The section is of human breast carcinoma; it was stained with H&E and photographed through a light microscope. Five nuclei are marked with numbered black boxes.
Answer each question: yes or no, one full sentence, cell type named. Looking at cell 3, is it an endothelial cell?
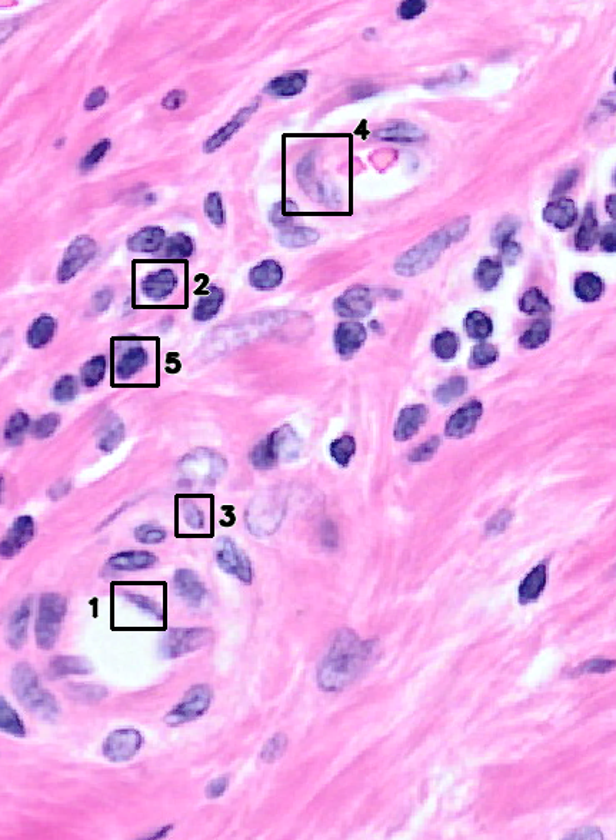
Yes, what number 3 marks is an endothelial cell.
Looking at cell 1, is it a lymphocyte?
No, cell 1, which is an endothelial cell, is not a lymphocyte.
